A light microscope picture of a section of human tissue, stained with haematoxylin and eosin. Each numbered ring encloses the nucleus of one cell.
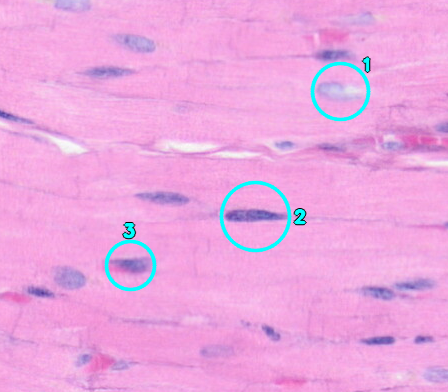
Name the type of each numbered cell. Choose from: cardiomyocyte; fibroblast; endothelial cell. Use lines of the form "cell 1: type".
cell 1: cardiomyocyte
cell 2: endothelial cell
cell 3: endothelial cell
